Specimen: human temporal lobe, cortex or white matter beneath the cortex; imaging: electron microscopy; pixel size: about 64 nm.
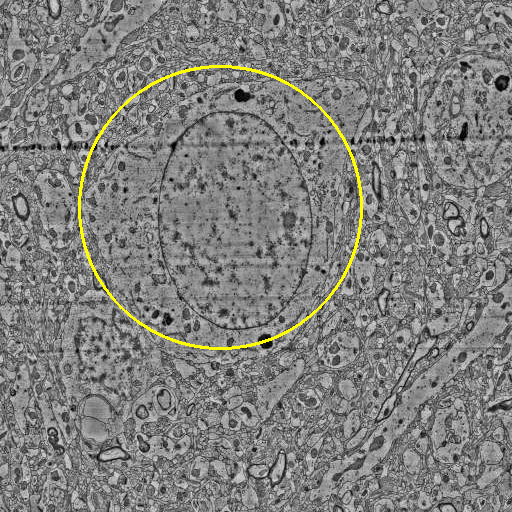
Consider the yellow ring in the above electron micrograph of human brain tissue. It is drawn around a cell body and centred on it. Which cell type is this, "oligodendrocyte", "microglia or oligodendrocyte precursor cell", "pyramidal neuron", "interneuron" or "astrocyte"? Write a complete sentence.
The cell in question is a pyramidal neuron.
